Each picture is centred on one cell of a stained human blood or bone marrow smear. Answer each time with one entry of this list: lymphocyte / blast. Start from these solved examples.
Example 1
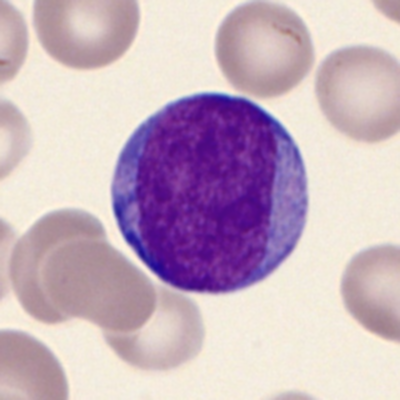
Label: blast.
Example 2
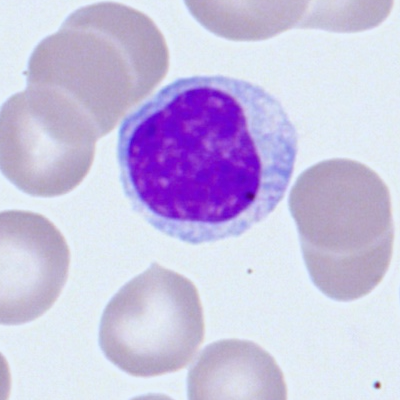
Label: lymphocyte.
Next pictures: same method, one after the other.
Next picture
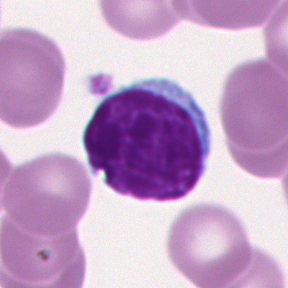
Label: lymphocyte.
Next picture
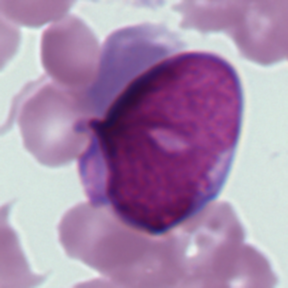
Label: blast.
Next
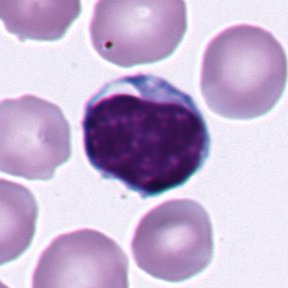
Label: lymphocyte.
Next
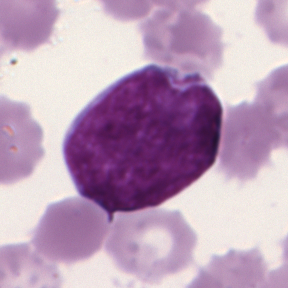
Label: blast.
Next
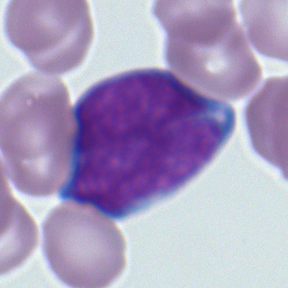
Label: blast.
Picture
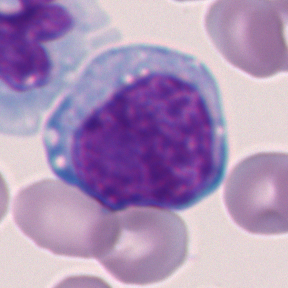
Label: blast.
